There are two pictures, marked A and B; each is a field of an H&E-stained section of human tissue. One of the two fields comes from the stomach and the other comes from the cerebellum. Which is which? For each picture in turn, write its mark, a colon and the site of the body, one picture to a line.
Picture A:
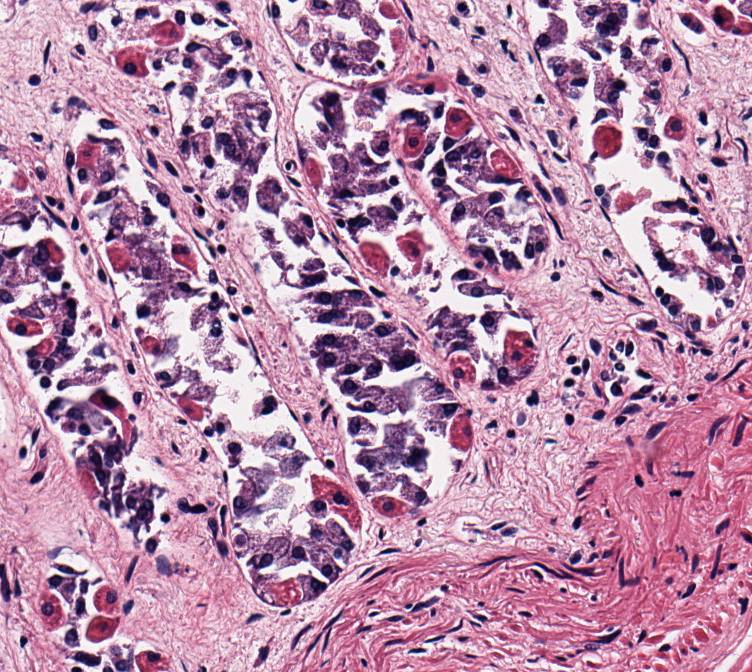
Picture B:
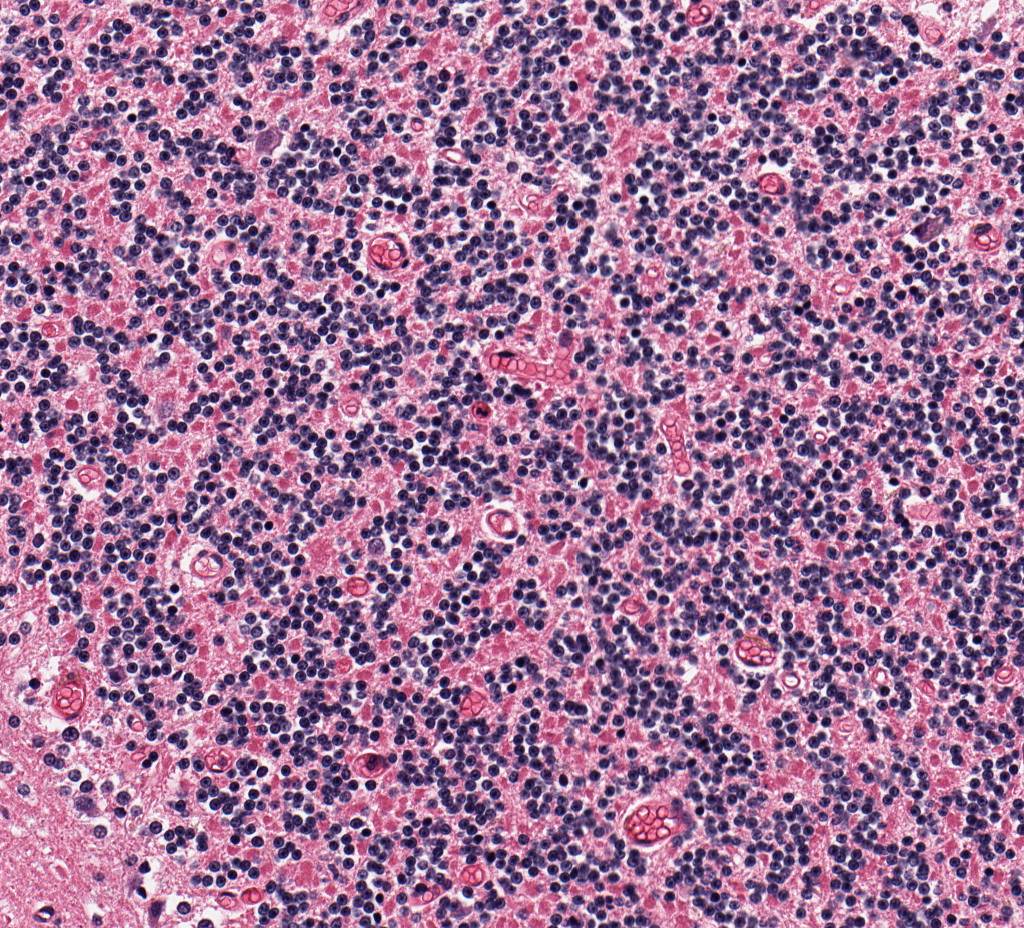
A: stomach
B: cerebellum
